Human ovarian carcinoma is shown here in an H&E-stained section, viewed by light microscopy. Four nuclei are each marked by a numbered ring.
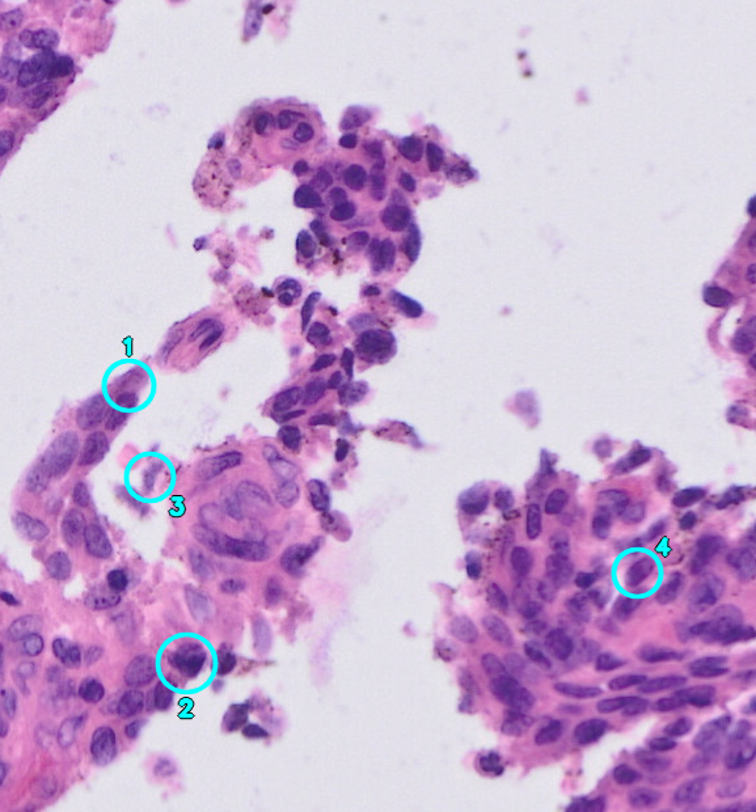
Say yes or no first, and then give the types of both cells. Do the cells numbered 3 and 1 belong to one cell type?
No, cell 3 is a macrophage or monocyte, and cell 1 is, by contrast, a carcinoma cell.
